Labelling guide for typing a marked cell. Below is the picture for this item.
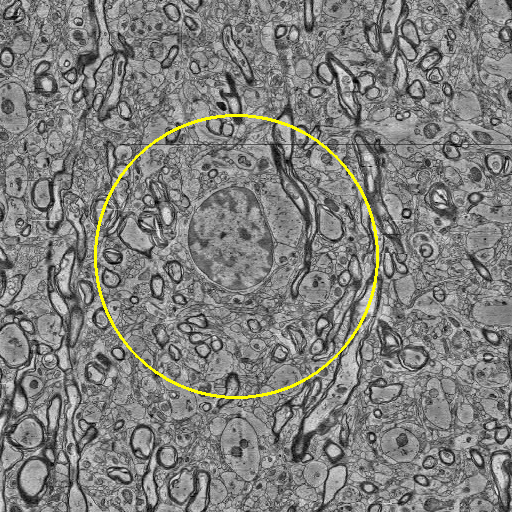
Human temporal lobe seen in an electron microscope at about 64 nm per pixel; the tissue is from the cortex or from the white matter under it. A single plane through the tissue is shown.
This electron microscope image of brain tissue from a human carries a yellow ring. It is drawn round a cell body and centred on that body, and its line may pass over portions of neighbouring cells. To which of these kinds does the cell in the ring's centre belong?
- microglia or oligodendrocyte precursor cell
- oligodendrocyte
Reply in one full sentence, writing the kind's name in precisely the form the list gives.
Here we have a microglial cell or oligodendrocyte precursor cell at the centre of the yellow ring in the picture.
